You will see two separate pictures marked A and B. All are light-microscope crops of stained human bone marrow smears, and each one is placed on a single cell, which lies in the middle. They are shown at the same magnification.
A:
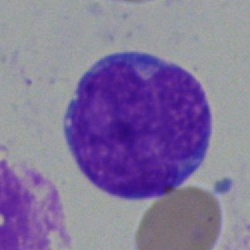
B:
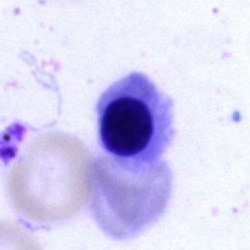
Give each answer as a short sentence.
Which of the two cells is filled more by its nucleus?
Of the two, the nucleus in picture A makes up the greater part of its cell.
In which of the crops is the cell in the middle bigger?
The cell in picture A is larger, with about 3 times the area of the one in picture B.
